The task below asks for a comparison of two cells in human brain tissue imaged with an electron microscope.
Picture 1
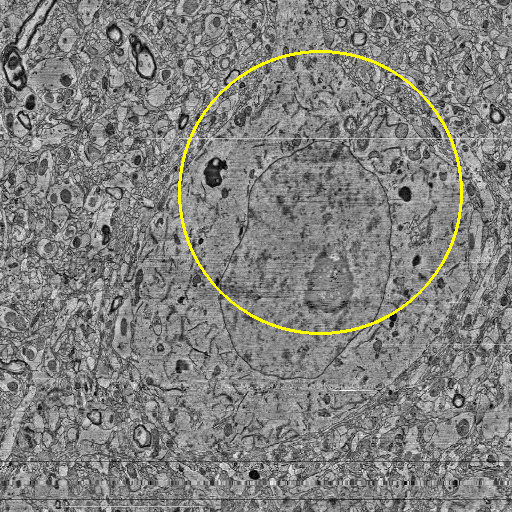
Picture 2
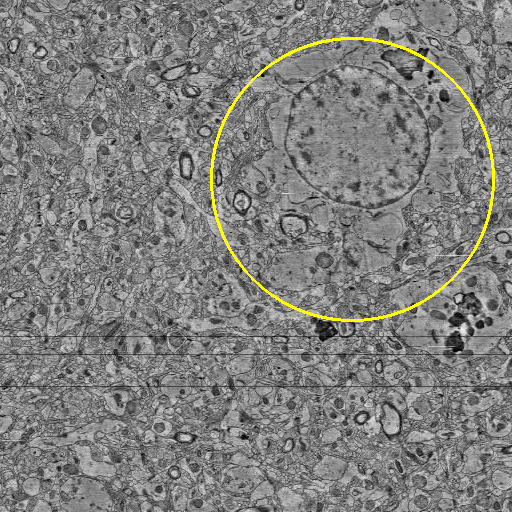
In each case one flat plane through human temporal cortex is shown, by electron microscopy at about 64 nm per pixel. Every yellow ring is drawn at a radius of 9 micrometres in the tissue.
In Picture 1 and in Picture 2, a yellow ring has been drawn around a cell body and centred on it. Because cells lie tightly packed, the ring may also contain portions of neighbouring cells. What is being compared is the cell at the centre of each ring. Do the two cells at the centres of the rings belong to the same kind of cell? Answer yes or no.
no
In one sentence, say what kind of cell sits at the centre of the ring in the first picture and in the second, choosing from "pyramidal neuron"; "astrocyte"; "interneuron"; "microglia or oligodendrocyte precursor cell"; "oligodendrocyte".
The first picture's ringed cell is a pyramidal neuron, while the second picture's is an astrocyte.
